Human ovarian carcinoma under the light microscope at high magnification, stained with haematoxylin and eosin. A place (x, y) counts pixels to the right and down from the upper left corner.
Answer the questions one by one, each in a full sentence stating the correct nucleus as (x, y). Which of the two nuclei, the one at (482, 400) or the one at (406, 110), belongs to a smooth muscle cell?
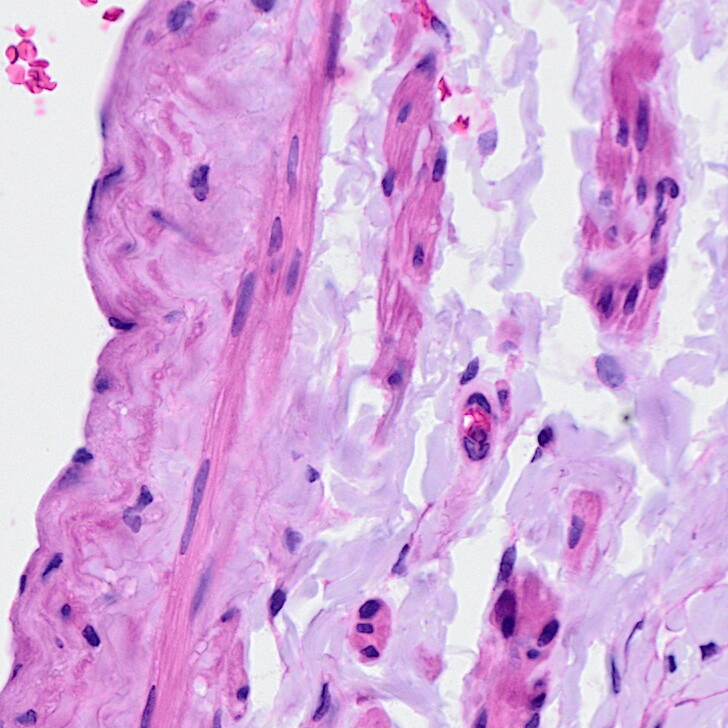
Located at (406, 110), this nucleus is the one belonging to a smooth muscle cell.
